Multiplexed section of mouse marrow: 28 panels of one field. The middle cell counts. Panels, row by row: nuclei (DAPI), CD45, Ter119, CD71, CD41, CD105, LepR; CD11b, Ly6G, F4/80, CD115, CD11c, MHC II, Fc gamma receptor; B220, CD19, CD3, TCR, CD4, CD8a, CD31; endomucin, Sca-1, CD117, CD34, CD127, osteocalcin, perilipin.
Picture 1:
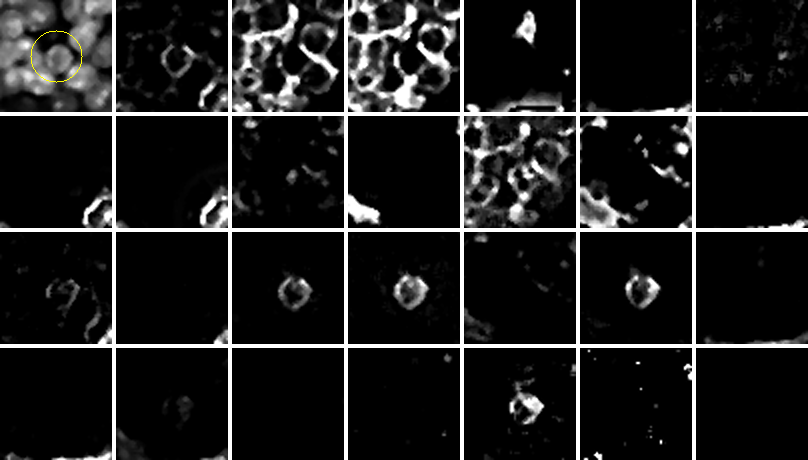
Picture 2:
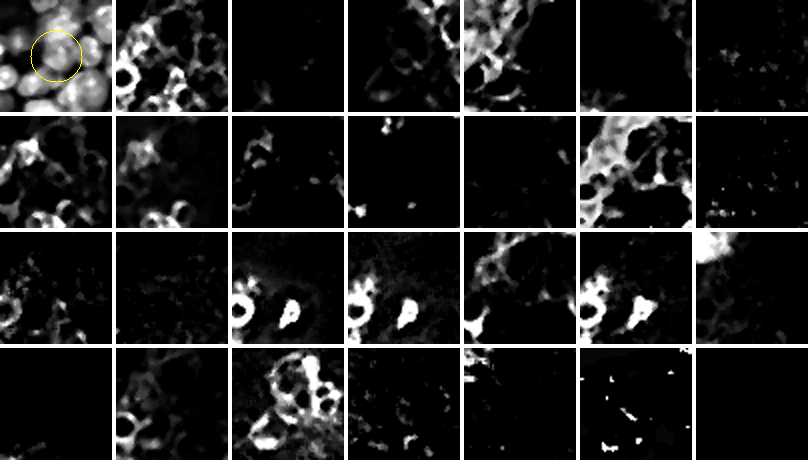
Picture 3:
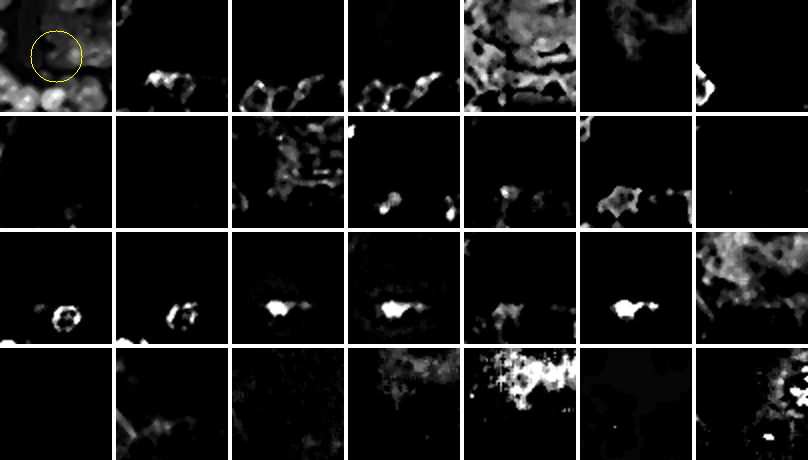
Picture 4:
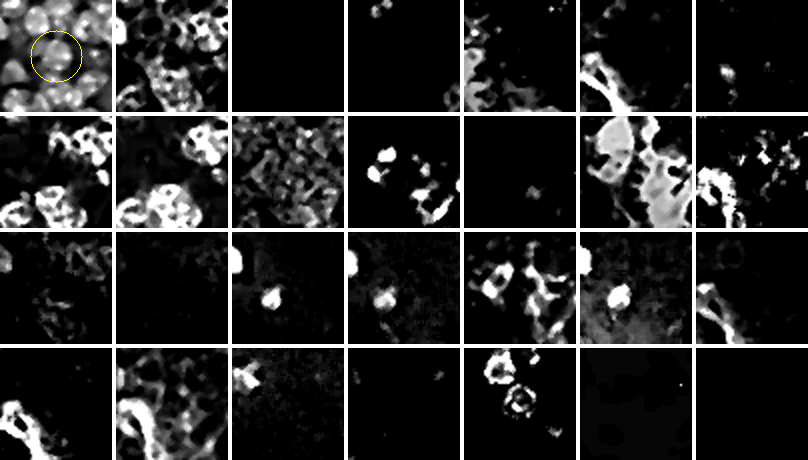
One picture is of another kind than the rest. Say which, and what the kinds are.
Picture 2 shows a megakaryocyte-erythroid progenitor; the rest show common lymphoid progenitors.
